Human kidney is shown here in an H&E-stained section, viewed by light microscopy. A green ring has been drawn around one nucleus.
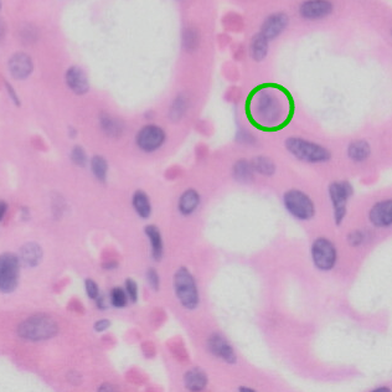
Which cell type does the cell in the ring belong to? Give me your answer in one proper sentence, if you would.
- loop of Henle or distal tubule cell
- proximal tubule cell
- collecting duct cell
The identity of the cell in the ring is that of a collecting duct cell.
